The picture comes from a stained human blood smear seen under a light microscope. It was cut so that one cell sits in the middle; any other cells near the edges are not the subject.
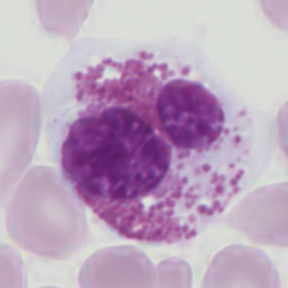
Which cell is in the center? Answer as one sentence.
Here the cell in the middle is an eosinophil.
